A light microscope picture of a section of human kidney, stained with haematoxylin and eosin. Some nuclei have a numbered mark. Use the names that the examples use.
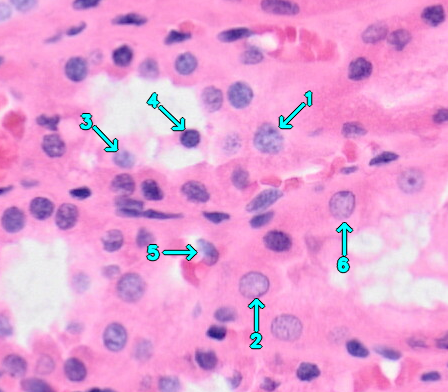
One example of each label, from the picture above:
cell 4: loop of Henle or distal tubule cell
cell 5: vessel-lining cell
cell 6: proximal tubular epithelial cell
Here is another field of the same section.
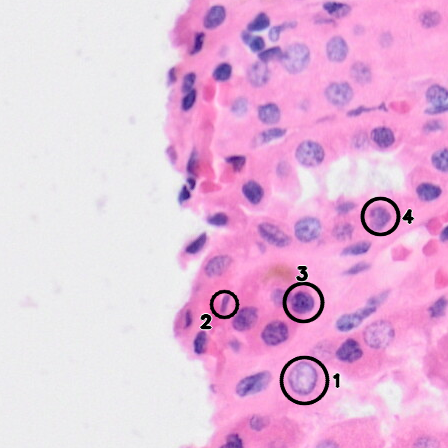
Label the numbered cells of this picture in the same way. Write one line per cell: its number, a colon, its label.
1: proximal tubular epithelial cell
2: vessel-lining cell
3: proximal tubular epithelial cell
4: loop of Henle or distal tubule cell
